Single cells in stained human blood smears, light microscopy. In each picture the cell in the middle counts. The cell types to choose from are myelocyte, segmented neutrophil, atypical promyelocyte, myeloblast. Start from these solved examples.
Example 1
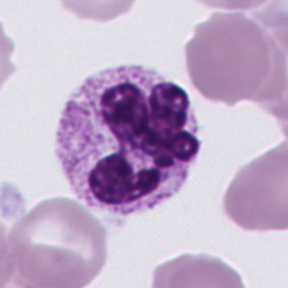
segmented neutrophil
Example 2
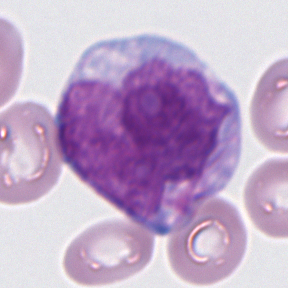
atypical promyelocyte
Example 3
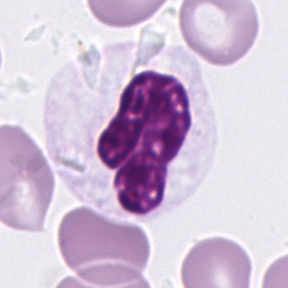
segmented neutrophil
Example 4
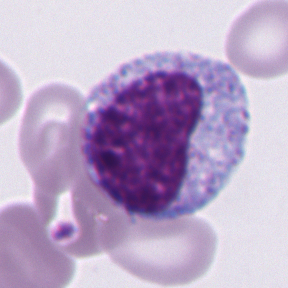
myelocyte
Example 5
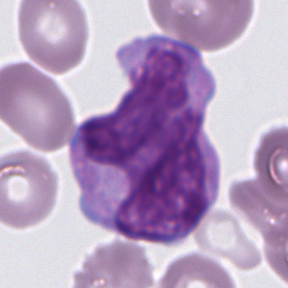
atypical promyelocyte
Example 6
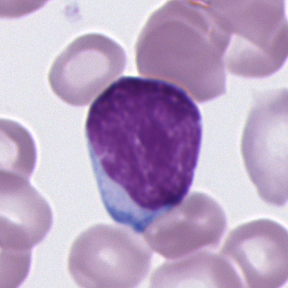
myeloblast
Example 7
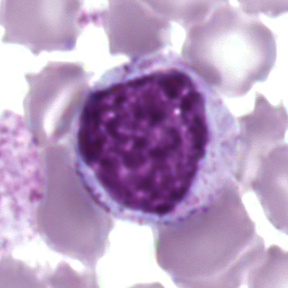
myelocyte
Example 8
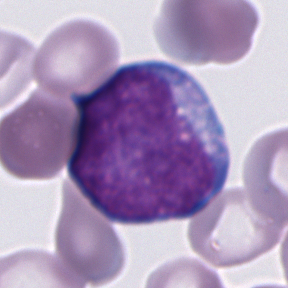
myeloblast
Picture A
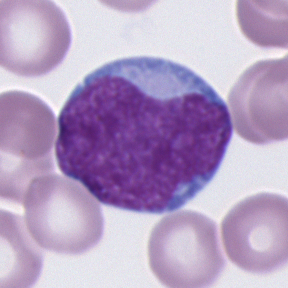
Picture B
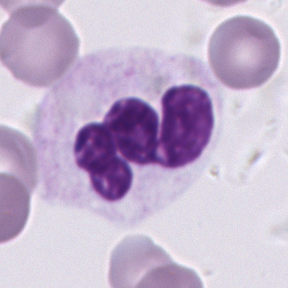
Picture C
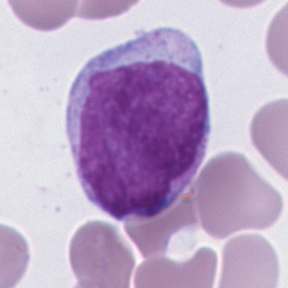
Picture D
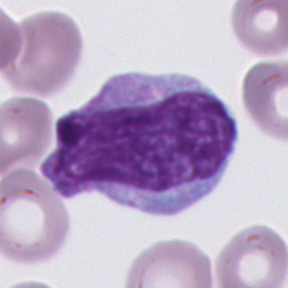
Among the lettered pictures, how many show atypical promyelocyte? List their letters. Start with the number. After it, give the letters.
Count: 2 (C, D)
